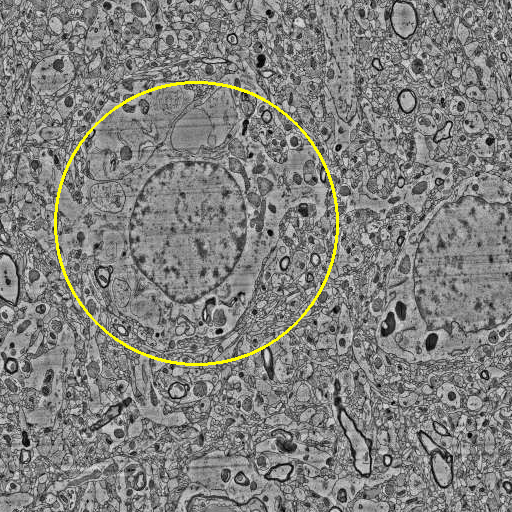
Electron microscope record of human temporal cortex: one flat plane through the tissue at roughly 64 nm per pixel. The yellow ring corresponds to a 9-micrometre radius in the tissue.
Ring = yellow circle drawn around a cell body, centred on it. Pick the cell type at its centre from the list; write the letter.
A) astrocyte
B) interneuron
A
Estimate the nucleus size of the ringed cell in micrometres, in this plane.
The ringed cell's nucleus measures approximately 9 by 7 micrometres in this plane.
